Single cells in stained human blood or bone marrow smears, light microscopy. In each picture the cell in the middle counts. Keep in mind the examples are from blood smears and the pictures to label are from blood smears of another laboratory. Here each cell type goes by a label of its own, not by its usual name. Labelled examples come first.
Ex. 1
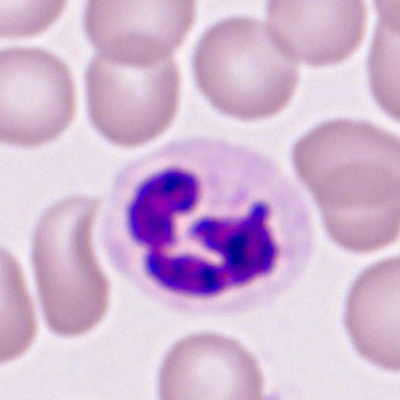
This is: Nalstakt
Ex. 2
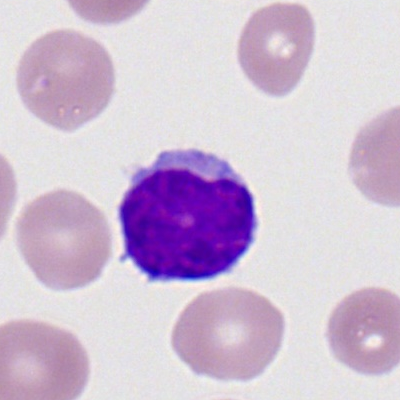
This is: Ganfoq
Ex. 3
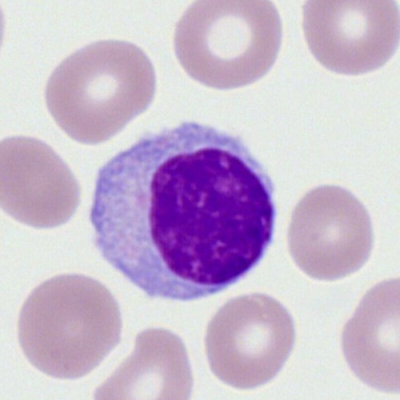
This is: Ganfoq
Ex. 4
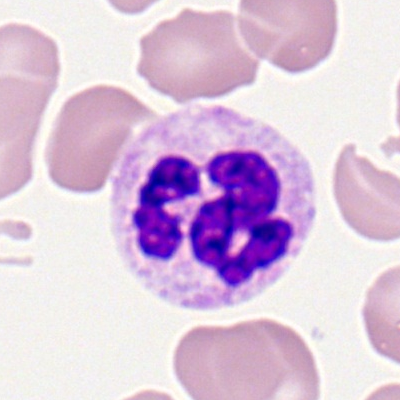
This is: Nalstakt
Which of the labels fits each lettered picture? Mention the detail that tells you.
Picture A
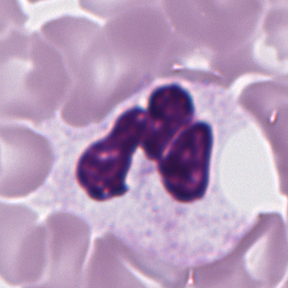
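Label: Nalstakt. Plentiful pale pinkish-lilac cytoplasm surrounds the nucleus.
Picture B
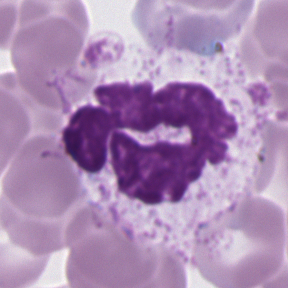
Label: Nalstakt. The cytoplasm is abundant and very pale, almost colourless.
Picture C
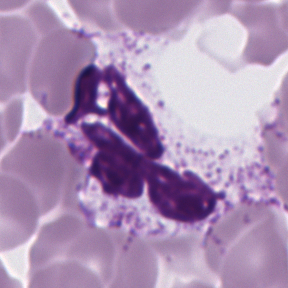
Label: Nalstakt. The cytoplasm is pale and nearly colourless.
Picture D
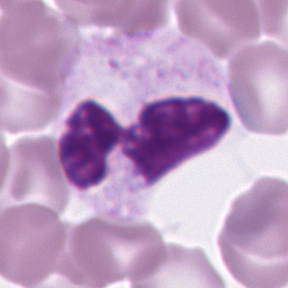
Label: Nalstakt. The cytoplasm is abundant and pale.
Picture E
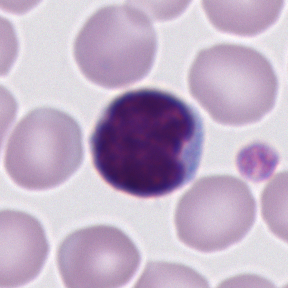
Label: Ganfoq. The visible cytoplasm forms a thin crescent on the right side of the cell.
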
